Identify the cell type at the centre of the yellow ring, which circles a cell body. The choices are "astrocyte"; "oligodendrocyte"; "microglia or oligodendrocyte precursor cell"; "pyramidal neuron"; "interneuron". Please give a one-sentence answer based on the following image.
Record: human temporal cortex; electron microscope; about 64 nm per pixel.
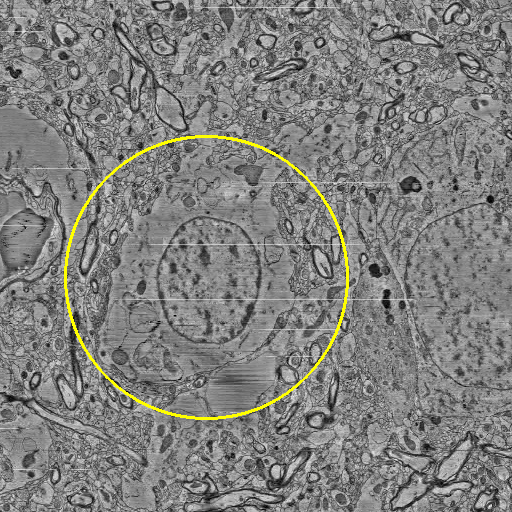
The cell marked by the ring is an astrocyte.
